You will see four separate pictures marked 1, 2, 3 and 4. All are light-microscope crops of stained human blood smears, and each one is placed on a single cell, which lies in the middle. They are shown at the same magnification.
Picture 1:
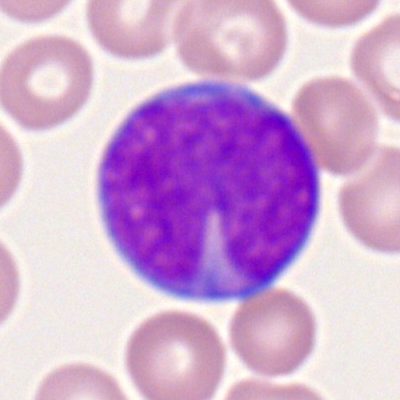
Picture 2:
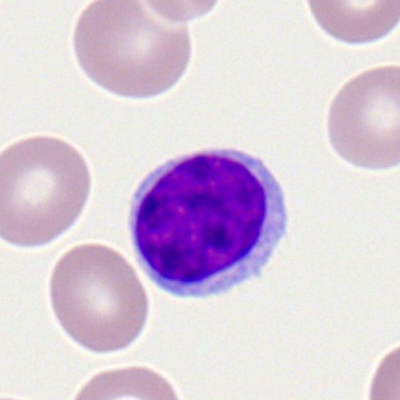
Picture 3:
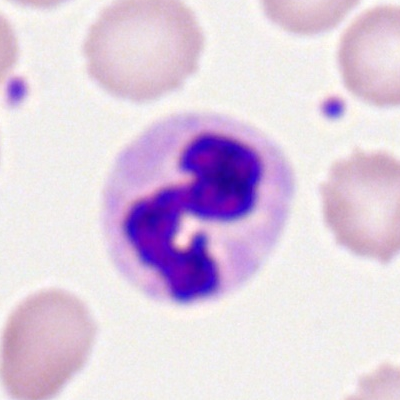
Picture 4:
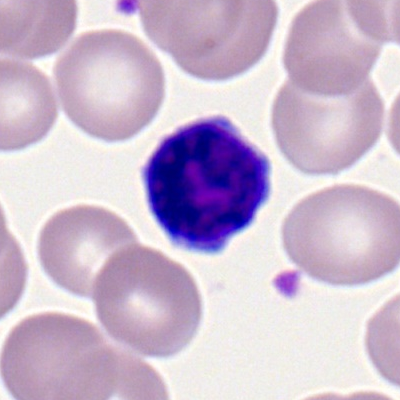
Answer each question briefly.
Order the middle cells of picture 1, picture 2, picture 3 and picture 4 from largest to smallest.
1, 3, 2, 4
